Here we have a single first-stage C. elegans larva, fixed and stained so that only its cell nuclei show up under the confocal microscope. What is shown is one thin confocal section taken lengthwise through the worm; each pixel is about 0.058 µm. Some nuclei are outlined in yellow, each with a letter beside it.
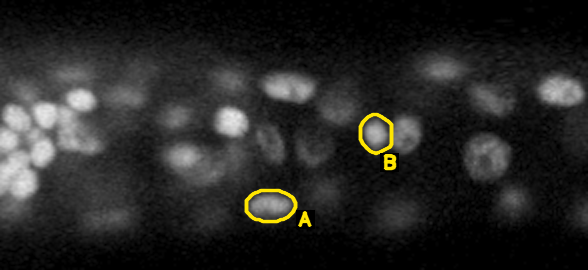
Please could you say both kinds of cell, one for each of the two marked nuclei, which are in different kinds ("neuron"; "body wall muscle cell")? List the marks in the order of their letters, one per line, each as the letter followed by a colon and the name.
A: body wall muscle cell
B: neuron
